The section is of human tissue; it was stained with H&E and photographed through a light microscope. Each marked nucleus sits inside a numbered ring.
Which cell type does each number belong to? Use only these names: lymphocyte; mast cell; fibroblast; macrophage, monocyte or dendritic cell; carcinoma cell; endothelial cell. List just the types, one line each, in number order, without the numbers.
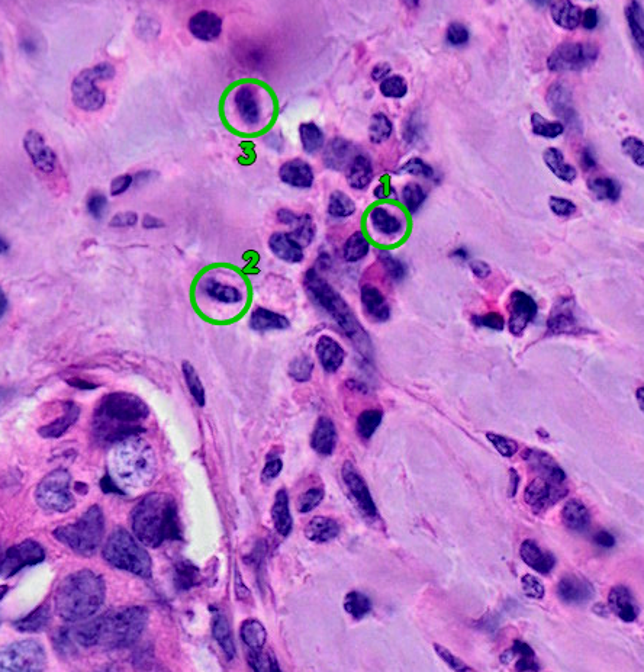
lymphocyte
mast cell
mast cell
